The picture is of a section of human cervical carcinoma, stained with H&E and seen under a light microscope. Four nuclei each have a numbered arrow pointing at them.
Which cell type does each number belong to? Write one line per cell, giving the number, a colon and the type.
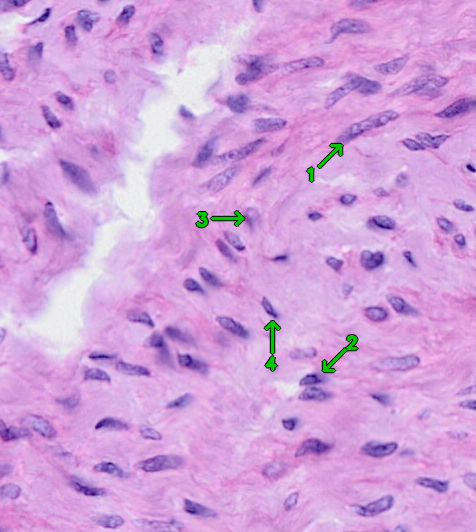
1: smooth muscle cell
2: fibroblast
3: smooth muscle cell
4: fibroblast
